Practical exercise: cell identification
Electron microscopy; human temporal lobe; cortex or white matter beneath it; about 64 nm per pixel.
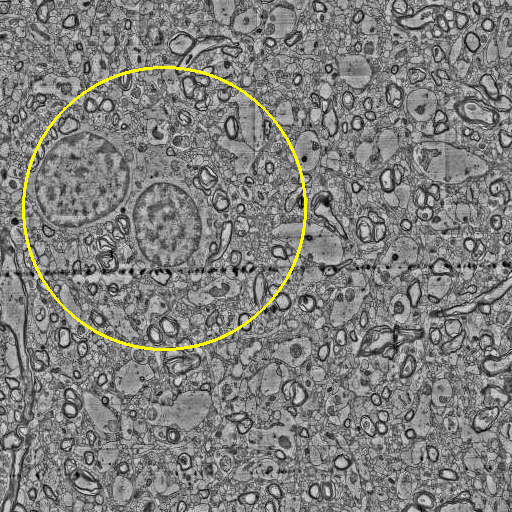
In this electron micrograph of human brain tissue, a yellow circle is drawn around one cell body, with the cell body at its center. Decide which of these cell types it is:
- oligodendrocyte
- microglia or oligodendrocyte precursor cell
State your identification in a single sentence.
The ringed cell is an oligodendrocyte.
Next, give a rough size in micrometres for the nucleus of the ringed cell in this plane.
In this plane the nucleus spans approximately 6 by 4 micrometers.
